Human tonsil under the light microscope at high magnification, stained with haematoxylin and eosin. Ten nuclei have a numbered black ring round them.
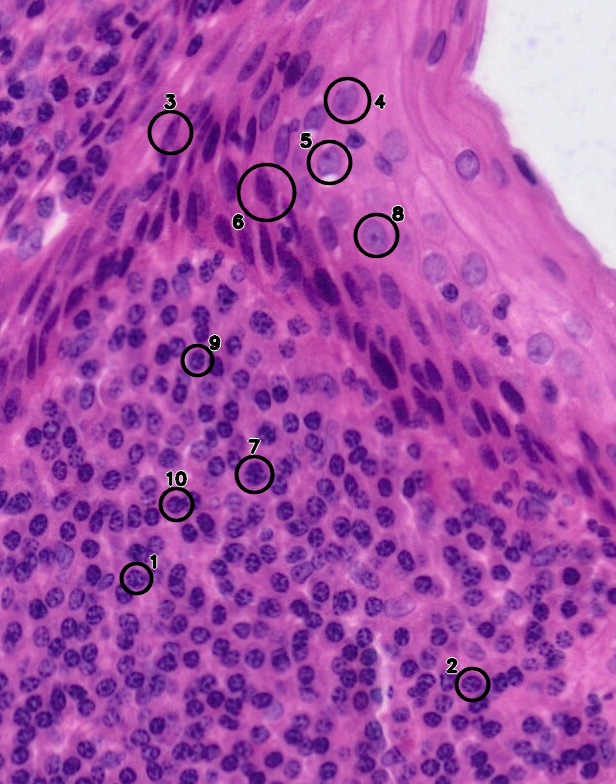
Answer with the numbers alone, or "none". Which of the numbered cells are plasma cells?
1, 2, 7, 9, 10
